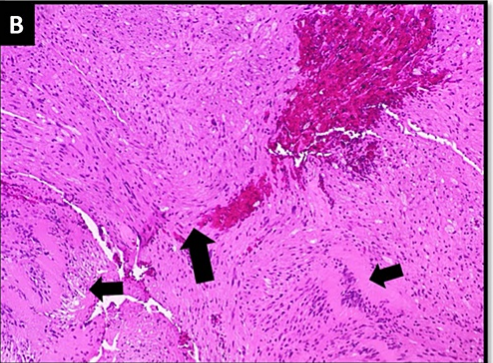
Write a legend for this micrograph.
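Spindle tumor cells form interlacing fascicles in a pink fibrillar background. In places the nuclei line up side by side in rows, a nuclear palisading, bordering pale pink zones with few nuclei. These arrangements form Verocay bodies. A patch of red blood cells lies in the upper right.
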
